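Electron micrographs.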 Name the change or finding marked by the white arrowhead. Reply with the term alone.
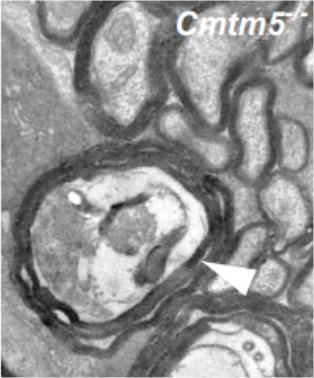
pathological profile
